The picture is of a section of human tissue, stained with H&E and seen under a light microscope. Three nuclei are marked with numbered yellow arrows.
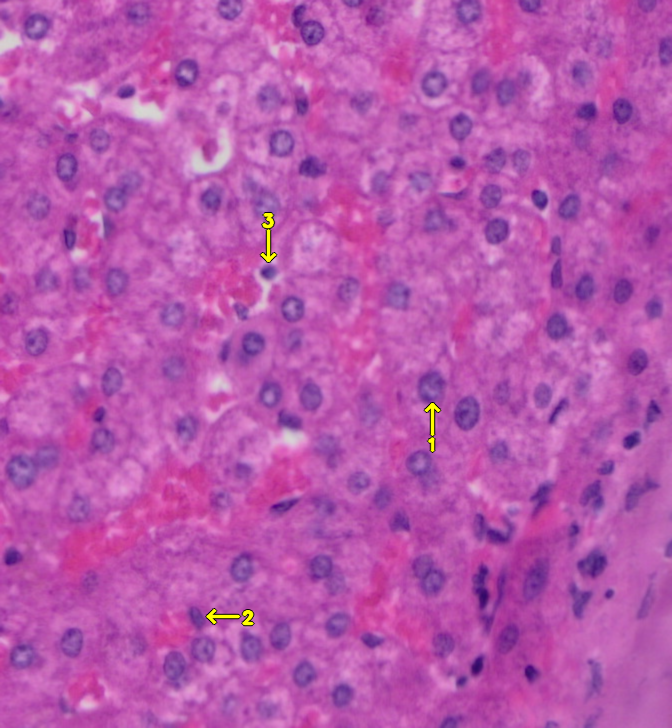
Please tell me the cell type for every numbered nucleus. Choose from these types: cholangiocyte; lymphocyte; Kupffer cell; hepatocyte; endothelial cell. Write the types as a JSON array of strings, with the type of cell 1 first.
["hepatocyte", "endothelial cell", "lymphocyte"]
